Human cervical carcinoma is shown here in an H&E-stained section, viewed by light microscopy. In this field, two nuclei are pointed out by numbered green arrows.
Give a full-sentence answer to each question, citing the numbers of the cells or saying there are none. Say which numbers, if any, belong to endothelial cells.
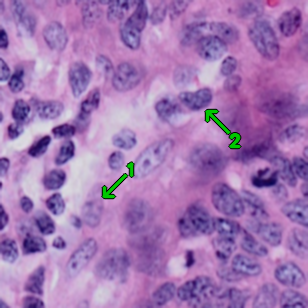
Cell number 1 alone is an endothelial cell; the rest are not.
